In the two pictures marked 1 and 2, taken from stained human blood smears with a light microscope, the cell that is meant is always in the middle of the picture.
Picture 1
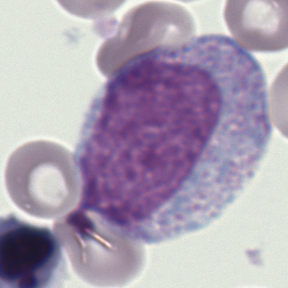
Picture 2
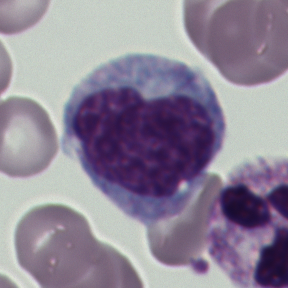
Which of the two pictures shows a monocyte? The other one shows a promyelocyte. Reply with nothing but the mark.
2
